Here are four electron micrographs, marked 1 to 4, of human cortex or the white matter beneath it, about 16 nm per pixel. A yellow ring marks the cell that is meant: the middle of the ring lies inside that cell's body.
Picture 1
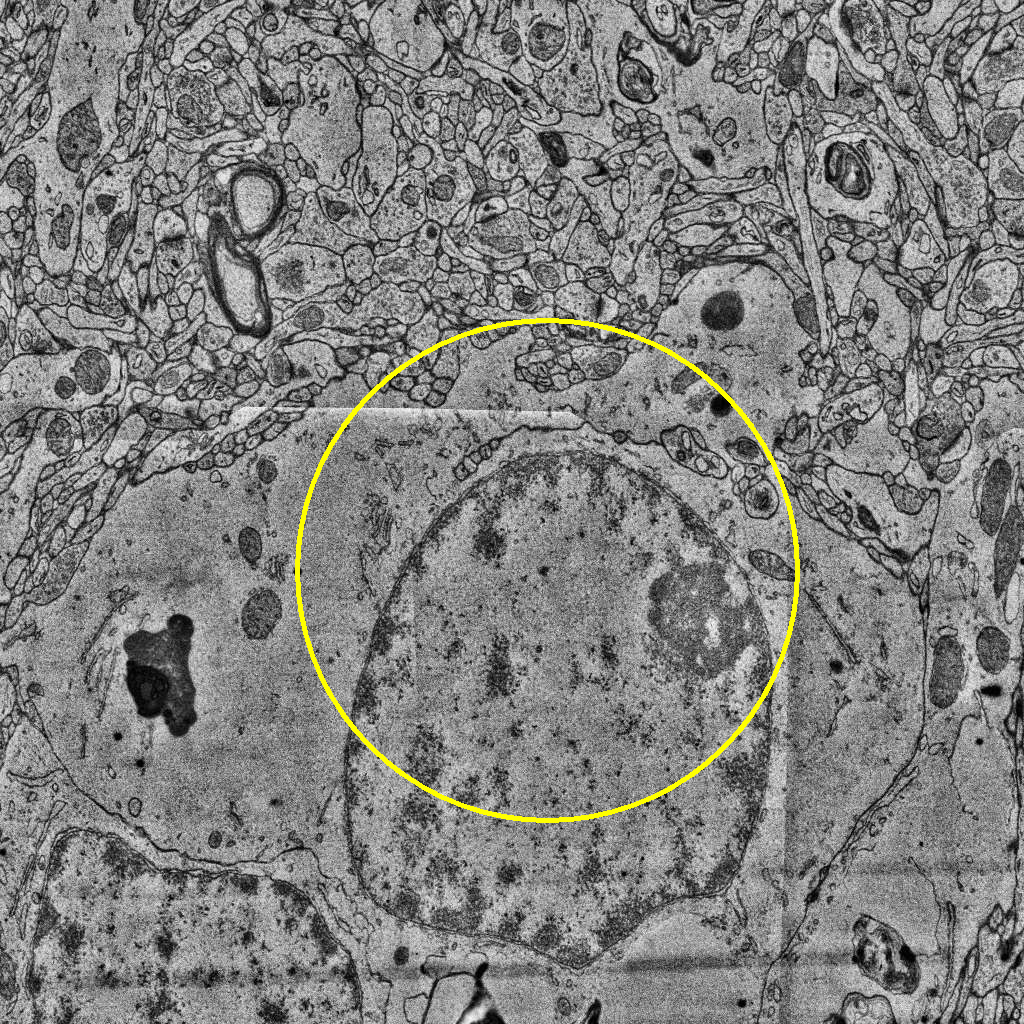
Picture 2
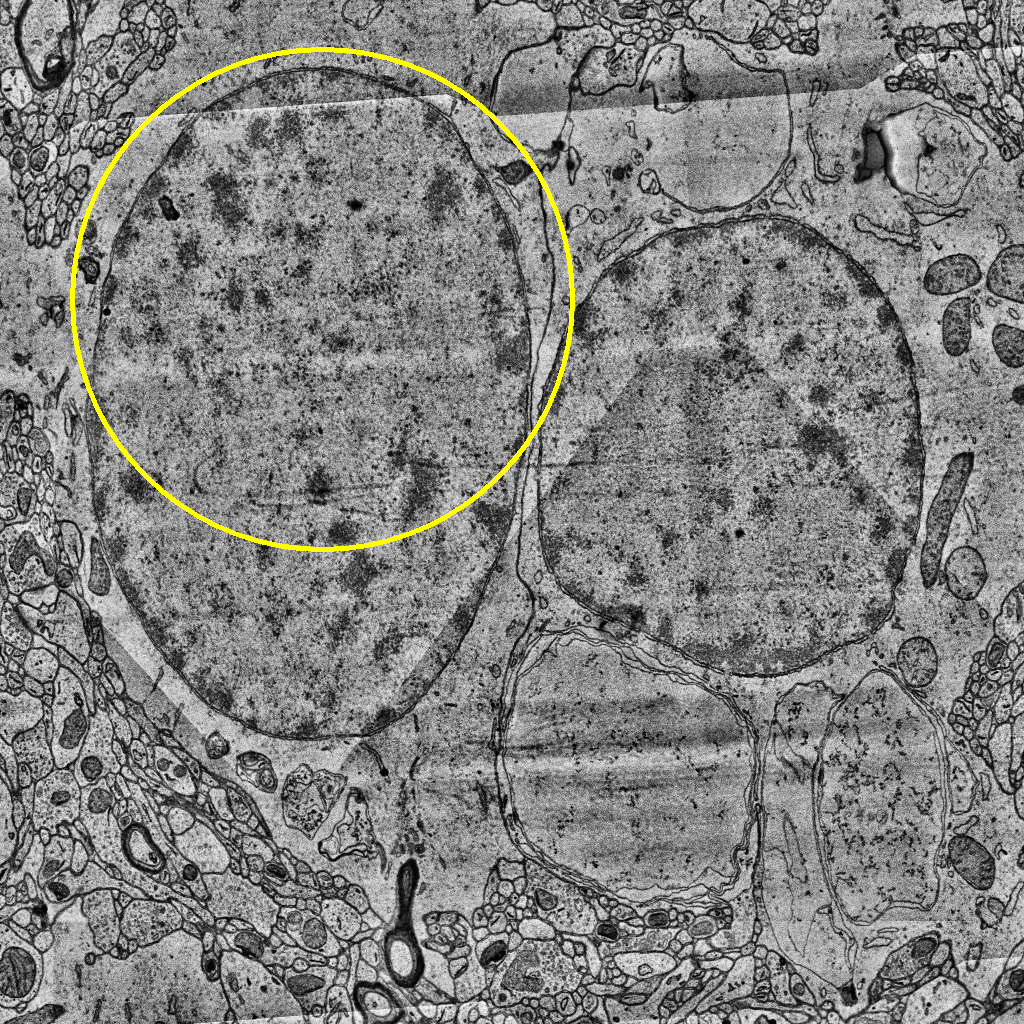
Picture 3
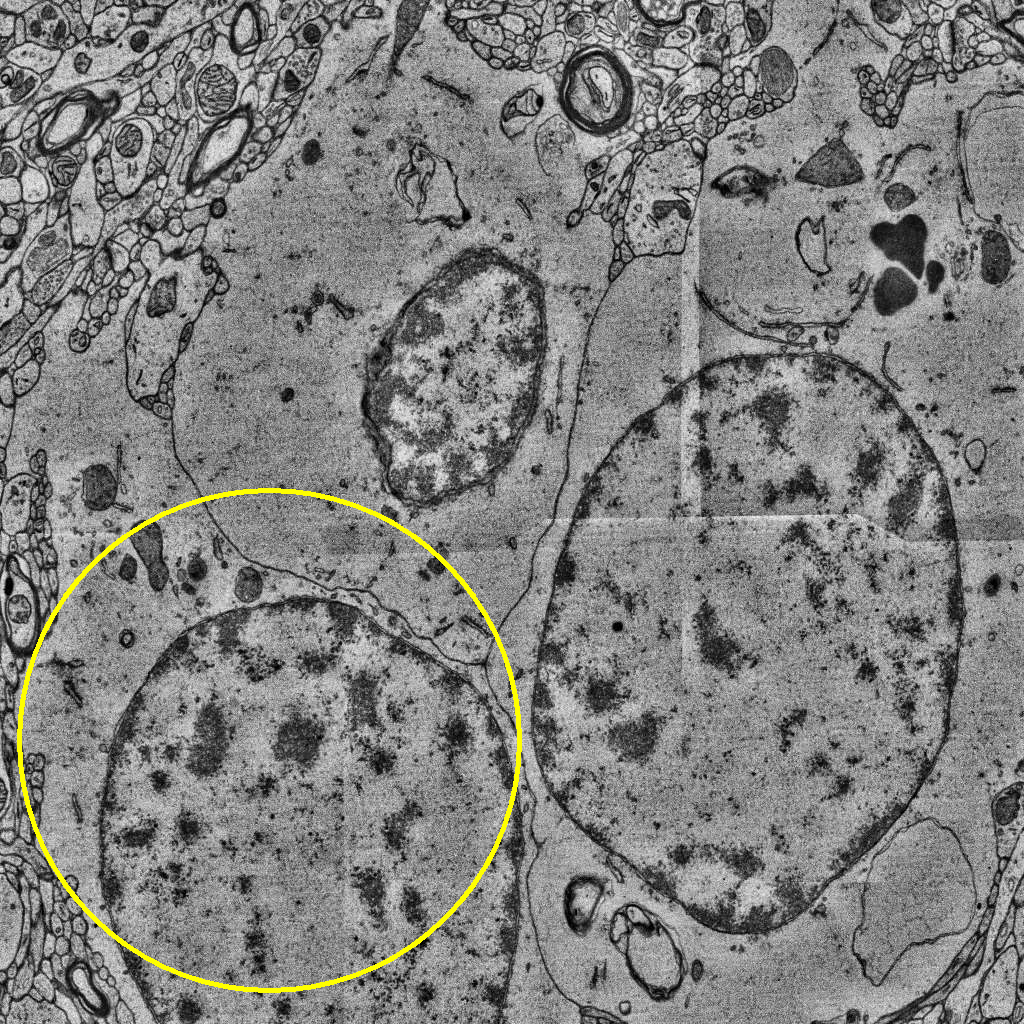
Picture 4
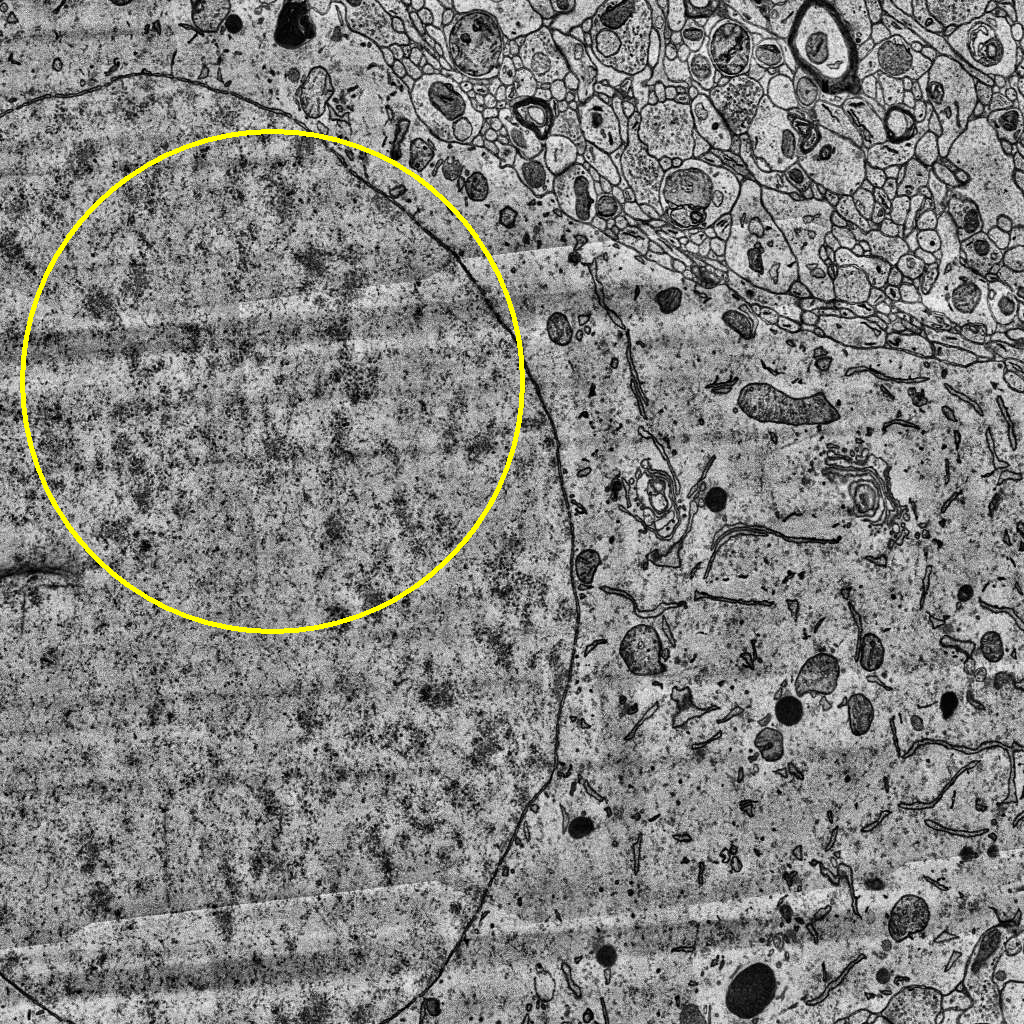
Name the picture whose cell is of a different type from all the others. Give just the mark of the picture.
4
